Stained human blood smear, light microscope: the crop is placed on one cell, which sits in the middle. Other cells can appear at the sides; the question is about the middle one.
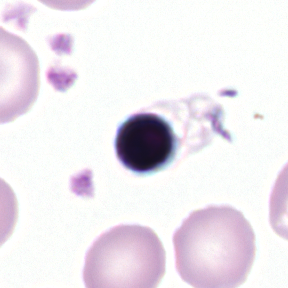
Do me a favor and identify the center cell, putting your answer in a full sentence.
The cell in the exact centre of the crop is a normoblast.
